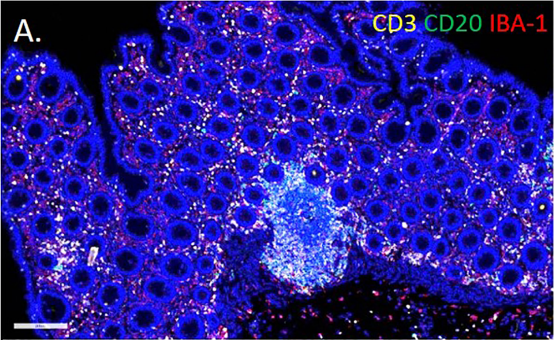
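This is colonic mucosa with numerous immune cells in the lamina propria and a lymphoid aggregate. The mucosa is filled with round glands cut in cross section, each ringed by blue epithelial nuclei around a dark central lumen. Between the glands, red macrophages and bright gold and white-appearing lymphocytes are densely scattered through the lamina propria. Toward the base of the mucosa lies a large, rounded aggregate of tightly packed cells with a pale blue-green cast. The aggregate interrupts the regular pattern of glands and extends toward the deeper layer.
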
